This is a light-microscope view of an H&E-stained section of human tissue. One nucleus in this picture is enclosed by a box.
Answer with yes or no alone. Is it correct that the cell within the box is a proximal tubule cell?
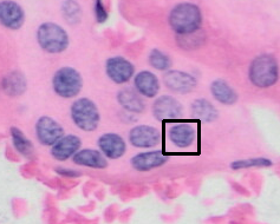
no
